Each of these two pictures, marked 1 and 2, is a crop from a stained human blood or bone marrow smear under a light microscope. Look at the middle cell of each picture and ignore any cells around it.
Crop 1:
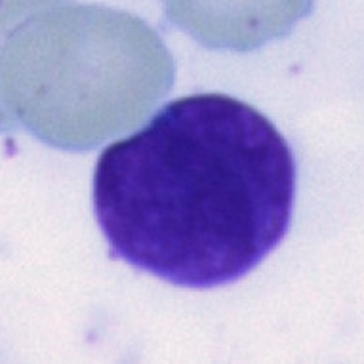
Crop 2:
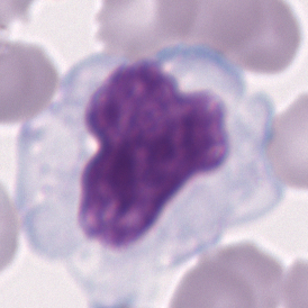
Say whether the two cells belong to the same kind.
no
